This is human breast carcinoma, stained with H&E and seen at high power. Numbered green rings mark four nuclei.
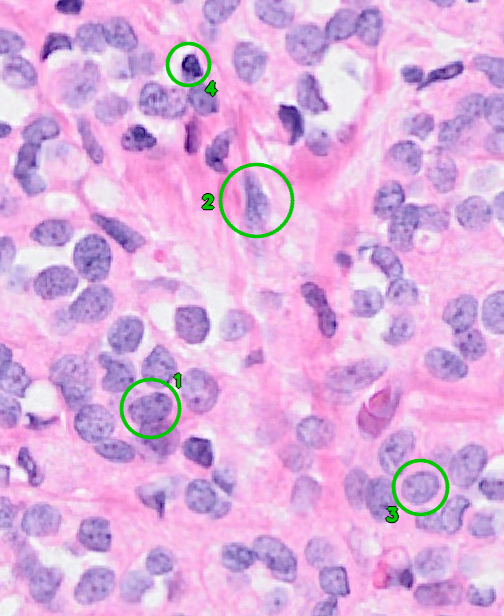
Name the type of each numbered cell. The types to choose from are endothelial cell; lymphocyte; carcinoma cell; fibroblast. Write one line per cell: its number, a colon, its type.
1: carcinoma cell
2: fibroblast
3: carcinoma cell
4: lymphocyte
